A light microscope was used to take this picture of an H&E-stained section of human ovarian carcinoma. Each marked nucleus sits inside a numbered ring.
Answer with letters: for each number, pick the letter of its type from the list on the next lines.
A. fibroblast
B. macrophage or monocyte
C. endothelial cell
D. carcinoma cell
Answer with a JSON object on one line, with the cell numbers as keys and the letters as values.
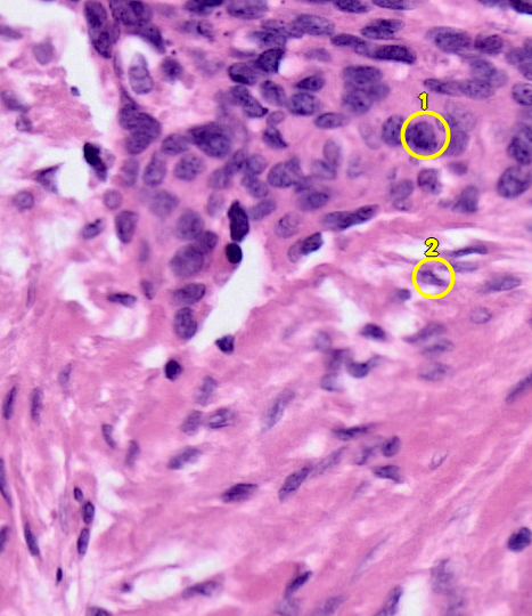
{"1": "D", "2": "A"}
